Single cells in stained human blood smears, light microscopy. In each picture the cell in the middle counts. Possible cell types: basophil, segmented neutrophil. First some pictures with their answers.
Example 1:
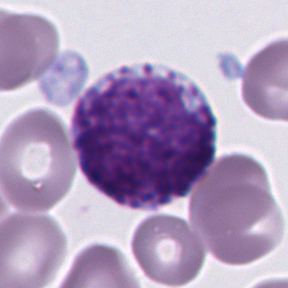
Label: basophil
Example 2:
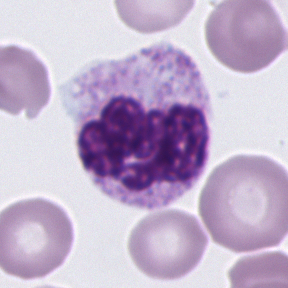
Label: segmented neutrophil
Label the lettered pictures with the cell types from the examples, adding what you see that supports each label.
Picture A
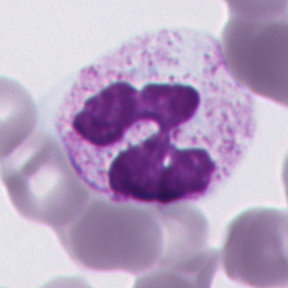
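segmented neutrophil. Evidence: The cytoplasm is abundant and pale pinkish-lilac.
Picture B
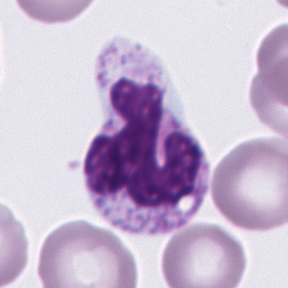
segmented neutrophil. Evidence: Fine purple granules are scattered through the cytoplasm.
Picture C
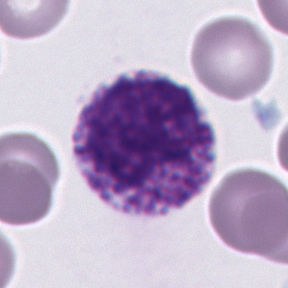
basophil. Evidence: The granules are coarse and uneven in size.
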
